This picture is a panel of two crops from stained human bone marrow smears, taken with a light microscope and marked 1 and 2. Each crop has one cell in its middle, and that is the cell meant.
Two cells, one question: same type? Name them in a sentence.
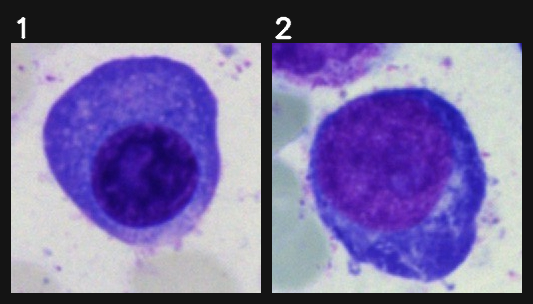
No, crop 2 centres on a proerythroblast, and crop 1 centres on a plasma cell.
